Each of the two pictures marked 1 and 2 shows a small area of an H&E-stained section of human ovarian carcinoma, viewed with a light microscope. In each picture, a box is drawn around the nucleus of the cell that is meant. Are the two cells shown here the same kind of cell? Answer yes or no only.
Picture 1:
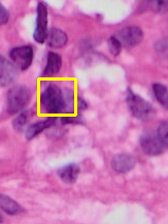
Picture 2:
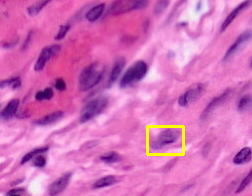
no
